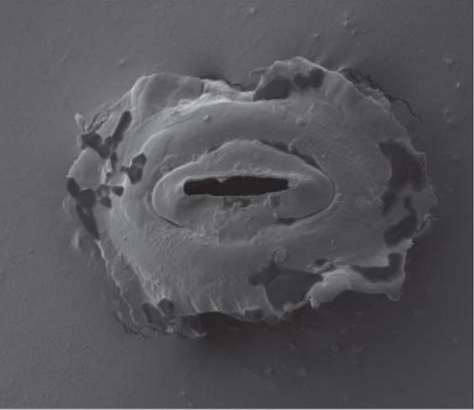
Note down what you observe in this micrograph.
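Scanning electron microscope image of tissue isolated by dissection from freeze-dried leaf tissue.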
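The two kidney-shaped guard cells lie face to face and together form a raised elliptical ring. Between them is an elongated, slit-like pore that is open. Around the pair lies an irregular, flattened flake of adjoining tissue with a torn outer edge.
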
